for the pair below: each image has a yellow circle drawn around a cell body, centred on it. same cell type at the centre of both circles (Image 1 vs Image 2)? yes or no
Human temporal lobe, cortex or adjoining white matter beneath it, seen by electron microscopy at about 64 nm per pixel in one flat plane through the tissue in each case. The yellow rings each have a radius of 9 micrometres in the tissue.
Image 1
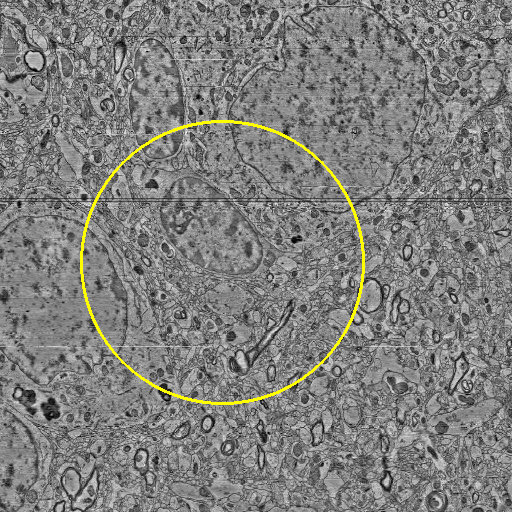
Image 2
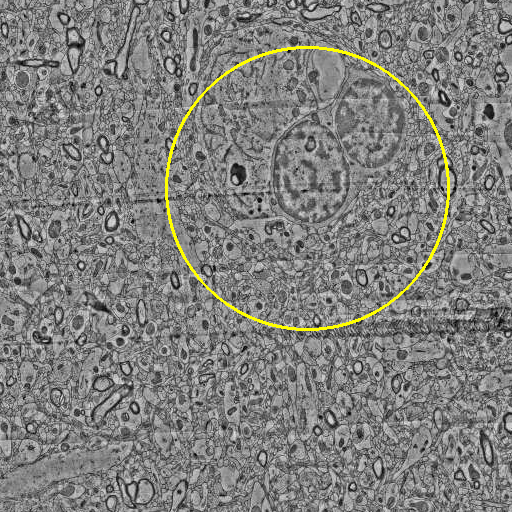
yes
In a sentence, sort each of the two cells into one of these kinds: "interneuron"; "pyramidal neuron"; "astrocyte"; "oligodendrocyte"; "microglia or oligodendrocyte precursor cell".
Each one of the two ringed cells is an oligodendrocyte.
